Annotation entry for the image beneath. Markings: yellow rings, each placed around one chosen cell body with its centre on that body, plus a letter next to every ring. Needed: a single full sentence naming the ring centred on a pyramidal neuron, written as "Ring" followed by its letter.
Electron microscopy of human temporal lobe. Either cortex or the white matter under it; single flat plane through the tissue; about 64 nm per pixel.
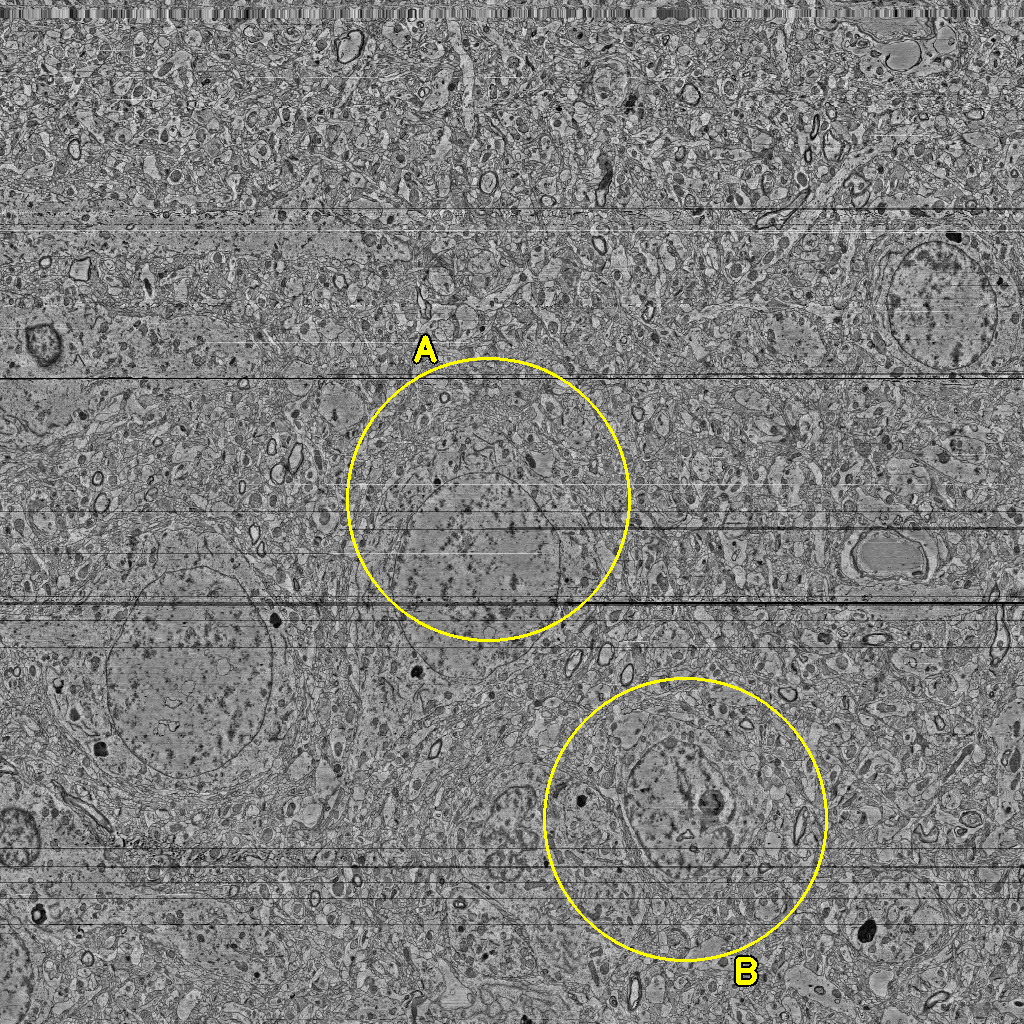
The image shows the cell in question at the centre of Ring A.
